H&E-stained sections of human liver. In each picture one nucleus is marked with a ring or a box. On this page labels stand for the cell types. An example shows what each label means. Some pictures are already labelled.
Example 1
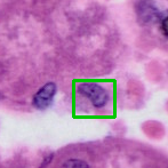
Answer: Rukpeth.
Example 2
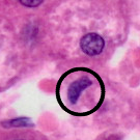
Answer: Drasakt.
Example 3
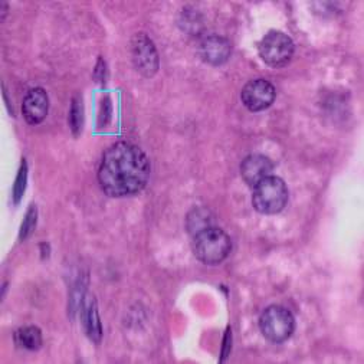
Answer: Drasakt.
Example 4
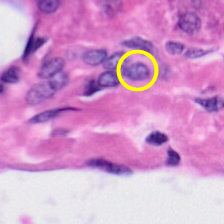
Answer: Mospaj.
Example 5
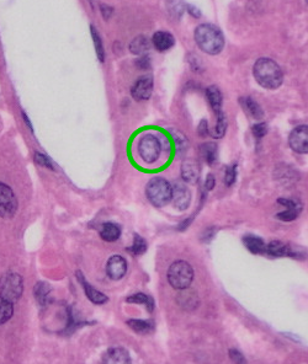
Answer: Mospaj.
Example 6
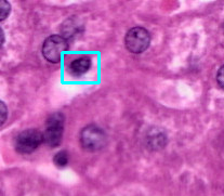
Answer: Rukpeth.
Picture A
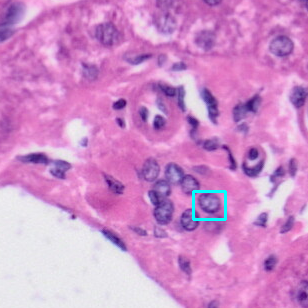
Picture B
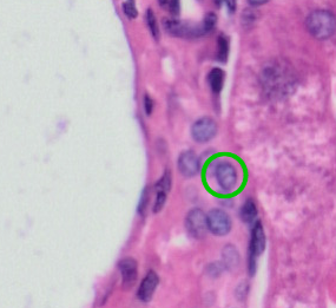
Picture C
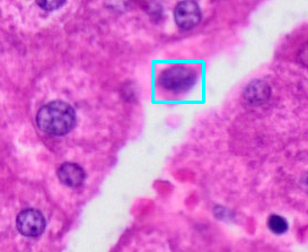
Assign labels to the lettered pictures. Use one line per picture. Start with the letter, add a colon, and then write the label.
A: Mospaj.
B: Mospaj.
C: Rukpeth.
